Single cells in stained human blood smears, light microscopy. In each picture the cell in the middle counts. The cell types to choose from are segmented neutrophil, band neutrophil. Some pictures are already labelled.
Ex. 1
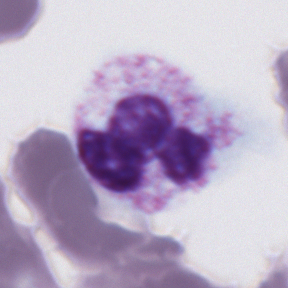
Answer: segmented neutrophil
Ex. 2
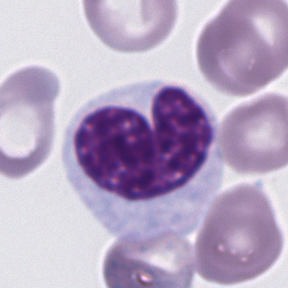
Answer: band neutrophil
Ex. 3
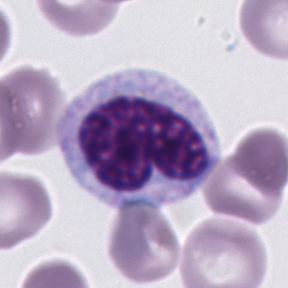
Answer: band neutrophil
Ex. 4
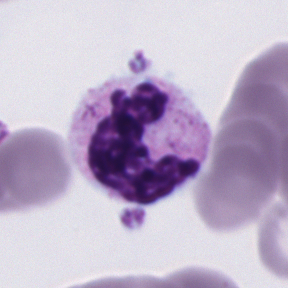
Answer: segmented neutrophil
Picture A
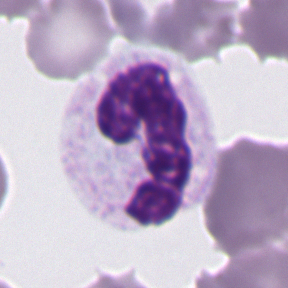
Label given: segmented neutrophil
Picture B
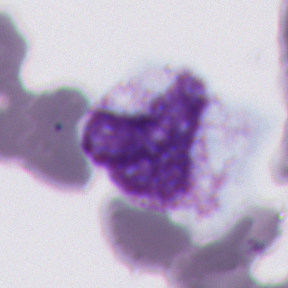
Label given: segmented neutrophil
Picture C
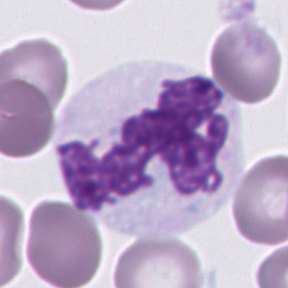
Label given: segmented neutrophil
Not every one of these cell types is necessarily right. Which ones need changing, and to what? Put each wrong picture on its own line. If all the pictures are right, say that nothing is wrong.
None of the labels needs changing.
